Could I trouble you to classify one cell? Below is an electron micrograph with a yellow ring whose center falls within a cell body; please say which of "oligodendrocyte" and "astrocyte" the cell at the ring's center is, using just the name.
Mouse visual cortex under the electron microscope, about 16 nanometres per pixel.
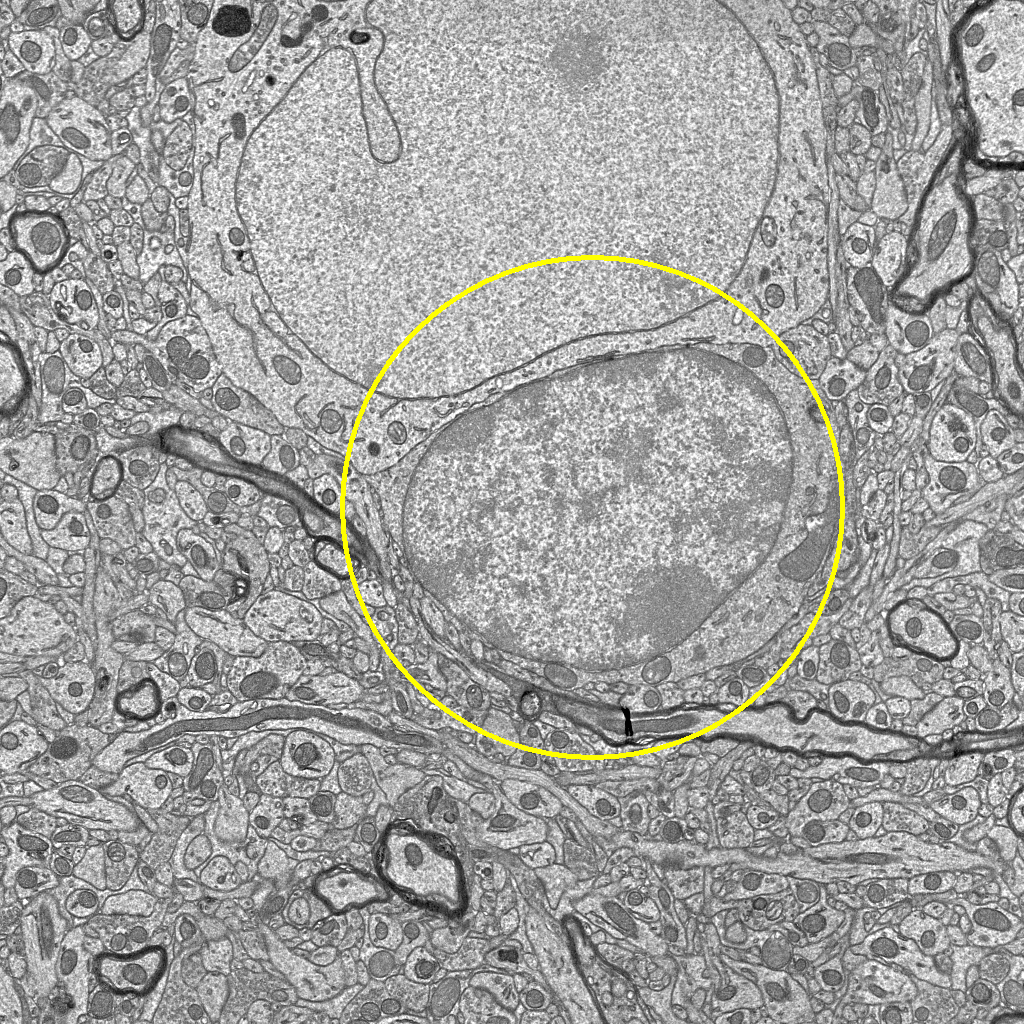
oligodendrocyte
